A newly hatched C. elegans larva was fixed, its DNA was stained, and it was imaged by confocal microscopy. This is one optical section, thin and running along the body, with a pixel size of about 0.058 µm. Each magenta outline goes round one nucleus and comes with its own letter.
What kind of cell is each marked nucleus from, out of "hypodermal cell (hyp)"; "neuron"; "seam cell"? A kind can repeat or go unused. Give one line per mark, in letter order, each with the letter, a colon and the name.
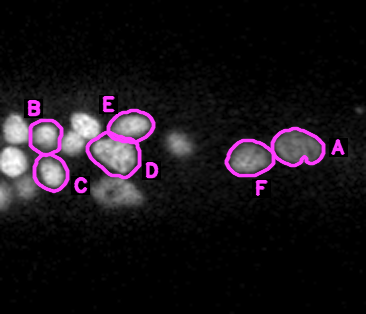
A: hypodermal cell (hyp)
B: neuron
C: neuron
D: seam cell
E: neuron
F: hypodermal cell (hyp)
